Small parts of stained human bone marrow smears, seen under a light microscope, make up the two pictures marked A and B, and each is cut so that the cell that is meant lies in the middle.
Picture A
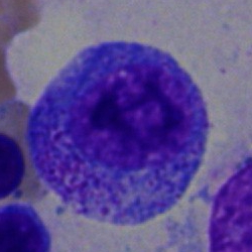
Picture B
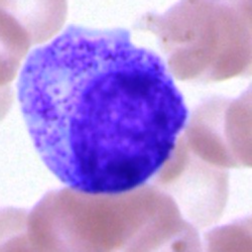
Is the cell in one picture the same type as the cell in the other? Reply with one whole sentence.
No; the cell in picture A is a promyelocyte, while the one in picture B is a myelocyte.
